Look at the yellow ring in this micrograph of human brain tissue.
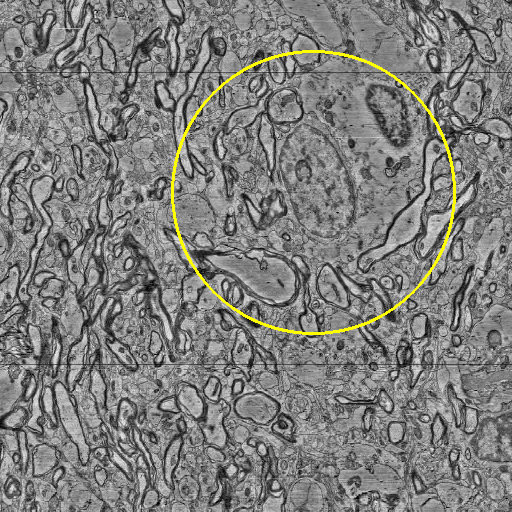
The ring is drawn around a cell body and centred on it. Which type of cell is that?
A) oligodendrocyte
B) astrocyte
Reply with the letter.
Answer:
A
